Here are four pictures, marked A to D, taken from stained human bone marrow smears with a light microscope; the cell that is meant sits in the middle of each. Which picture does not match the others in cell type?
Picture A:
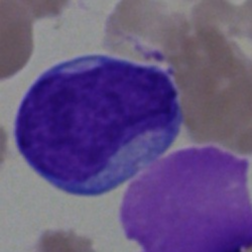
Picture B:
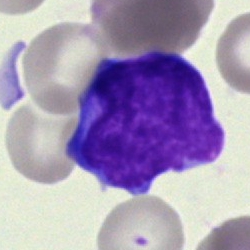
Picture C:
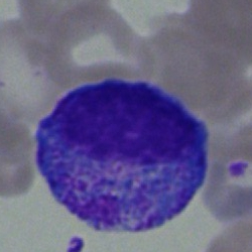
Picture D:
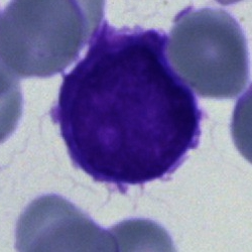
C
